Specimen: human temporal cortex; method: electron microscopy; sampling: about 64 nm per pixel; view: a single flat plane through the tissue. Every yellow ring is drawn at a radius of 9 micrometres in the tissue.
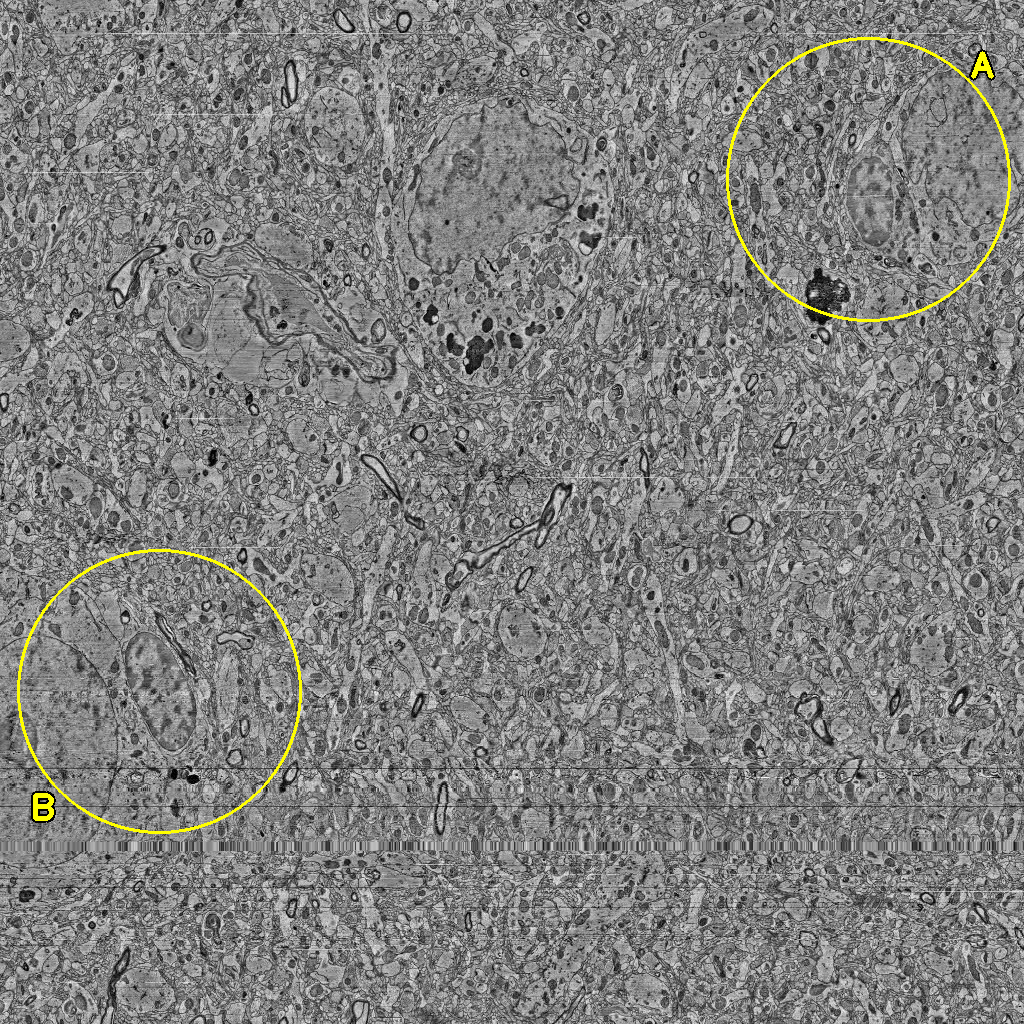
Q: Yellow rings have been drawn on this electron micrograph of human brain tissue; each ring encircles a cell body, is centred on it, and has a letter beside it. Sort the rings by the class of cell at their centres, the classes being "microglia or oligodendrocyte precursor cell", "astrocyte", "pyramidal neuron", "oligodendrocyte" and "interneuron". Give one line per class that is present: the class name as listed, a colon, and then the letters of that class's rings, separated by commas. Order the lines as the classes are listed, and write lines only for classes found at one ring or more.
microglia or oligodendrocyte precursor cell: B
oligodendrocyte: A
